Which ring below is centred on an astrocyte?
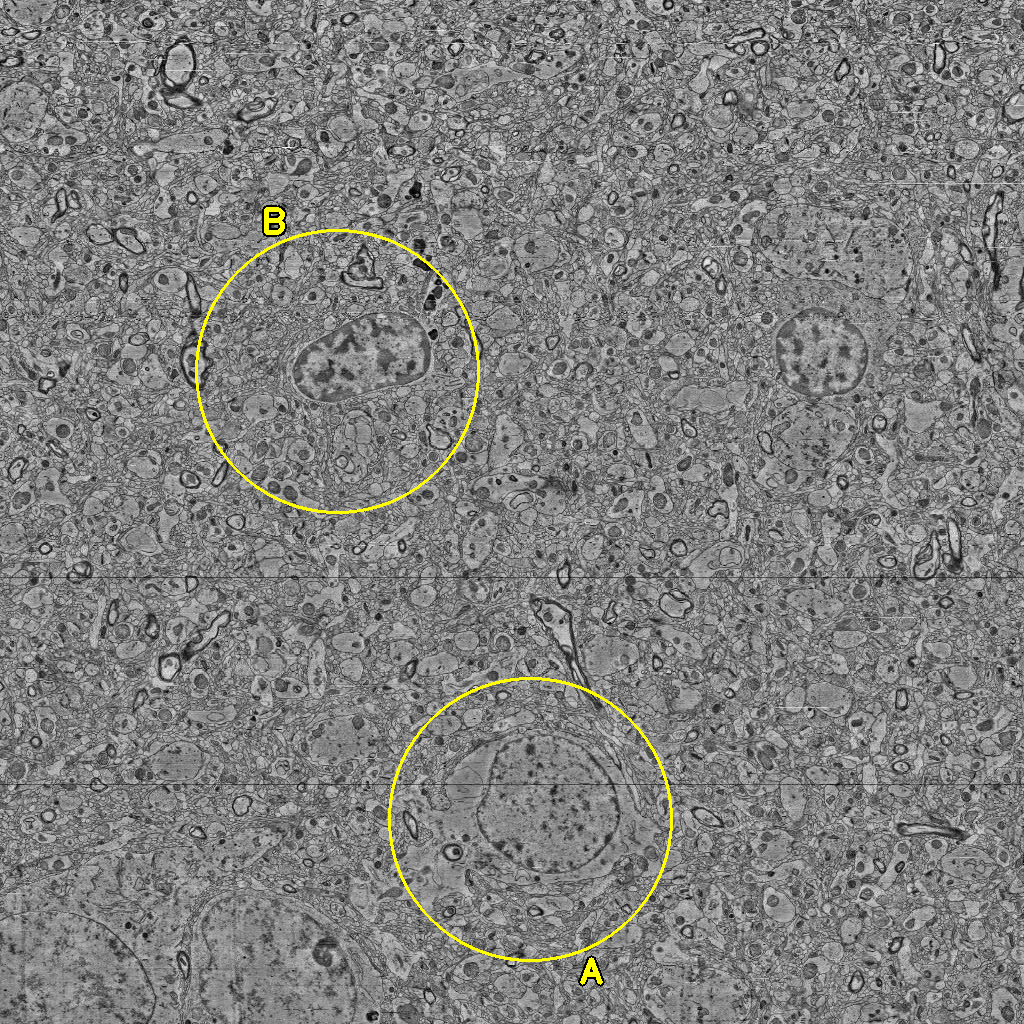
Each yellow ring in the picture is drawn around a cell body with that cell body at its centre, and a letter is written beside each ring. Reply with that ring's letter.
A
